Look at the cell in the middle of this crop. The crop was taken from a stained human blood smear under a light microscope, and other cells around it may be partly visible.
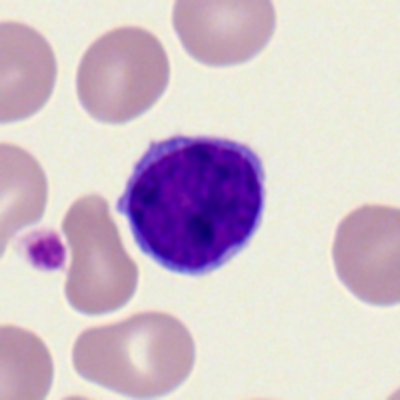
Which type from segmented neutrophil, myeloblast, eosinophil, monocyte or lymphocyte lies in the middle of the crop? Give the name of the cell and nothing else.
lymphocyte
